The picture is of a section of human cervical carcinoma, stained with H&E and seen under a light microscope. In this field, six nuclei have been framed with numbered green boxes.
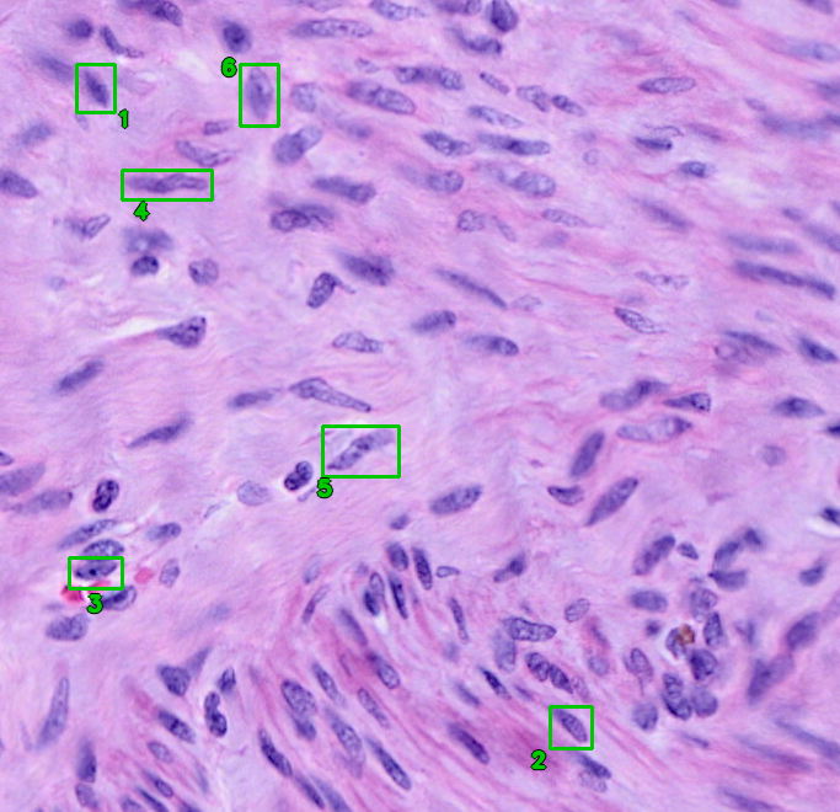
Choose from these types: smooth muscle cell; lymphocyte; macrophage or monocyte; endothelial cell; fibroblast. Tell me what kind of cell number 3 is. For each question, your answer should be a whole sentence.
Within this field of view, the cell labelled 3 is an endothelial cell.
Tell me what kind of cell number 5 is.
The cell to which the number 5 is assigned is a fibroblast.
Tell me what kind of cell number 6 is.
The one labeled 6 is a fibroblast, to put it simply.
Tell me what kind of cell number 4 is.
The cell carrying label 4 is identified as a smooth muscle cell.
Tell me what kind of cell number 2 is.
The cell bearing label 2 corresponds to a smooth muscle cell.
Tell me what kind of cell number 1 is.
The marked cell bearing number 1 is a fibroblast.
